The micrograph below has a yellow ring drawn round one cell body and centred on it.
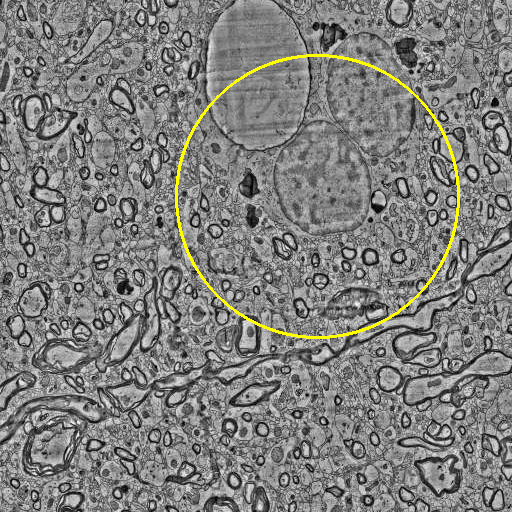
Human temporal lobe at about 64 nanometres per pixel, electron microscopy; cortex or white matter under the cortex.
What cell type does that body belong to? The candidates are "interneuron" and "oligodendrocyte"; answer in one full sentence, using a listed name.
This is an oligodendrocyte, the cell whose body lies at the centre of the ring.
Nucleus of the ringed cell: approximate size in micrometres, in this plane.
The nucleus of the ringed cell is approximately 7 by 6 micrometres in this plane.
